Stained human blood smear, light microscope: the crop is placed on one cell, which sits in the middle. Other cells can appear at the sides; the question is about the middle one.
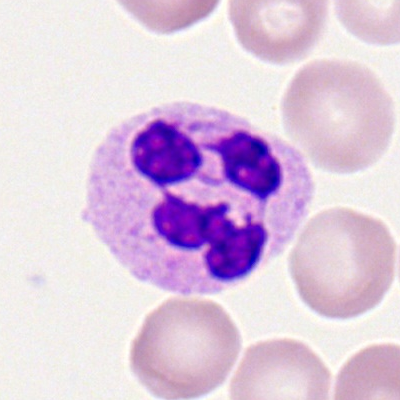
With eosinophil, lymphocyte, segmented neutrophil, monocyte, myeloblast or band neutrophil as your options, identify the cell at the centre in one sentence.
Located at the centre of the crop is a segmented neutrophil.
